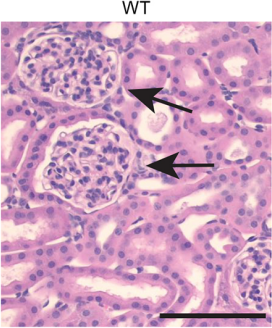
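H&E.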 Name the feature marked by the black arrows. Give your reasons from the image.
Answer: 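Round tufts of closely packed nuclei sit inside a clear space. A thin capsule rims each tuft. Tubules with pink cytoplasm surround them. The answer: glomeruli.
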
